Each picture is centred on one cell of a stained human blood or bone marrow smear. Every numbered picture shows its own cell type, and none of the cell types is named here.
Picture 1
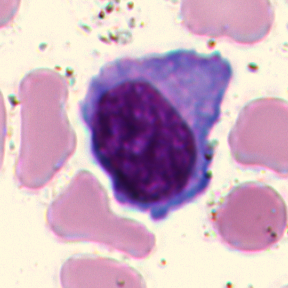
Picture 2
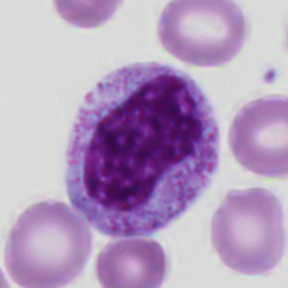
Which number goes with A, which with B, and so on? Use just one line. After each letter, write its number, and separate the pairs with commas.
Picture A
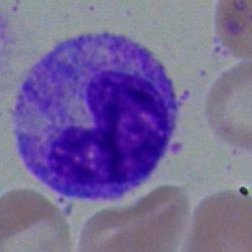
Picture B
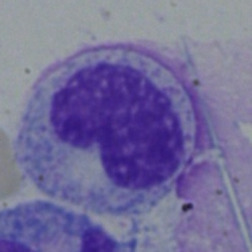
A 2, B 2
